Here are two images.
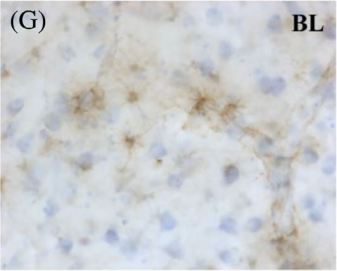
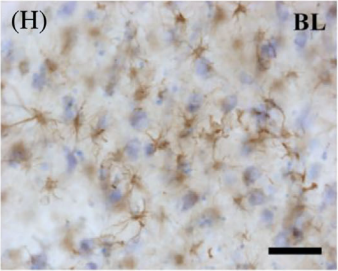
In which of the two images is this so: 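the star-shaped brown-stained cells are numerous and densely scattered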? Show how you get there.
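The second image. First image: only a few faint brown star-shaped cells are scattered among blue nuclei. Second image: many distinct brown star-shaped cells with radiating processes fill the field.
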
